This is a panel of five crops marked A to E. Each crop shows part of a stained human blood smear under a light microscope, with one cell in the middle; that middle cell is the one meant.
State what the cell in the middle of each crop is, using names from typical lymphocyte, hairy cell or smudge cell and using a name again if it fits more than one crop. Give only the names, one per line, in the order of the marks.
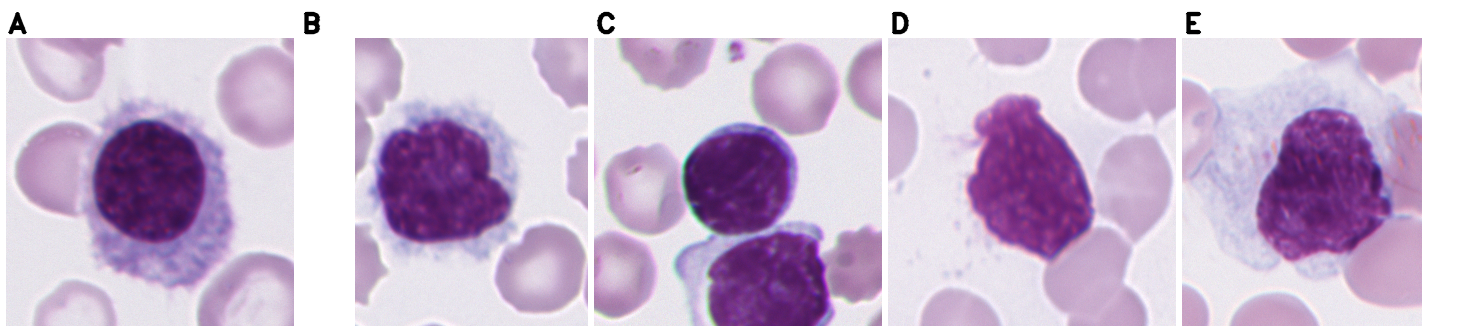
hairy cell
hairy cell
typical lymphocyte
smudge cell
hairy cell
